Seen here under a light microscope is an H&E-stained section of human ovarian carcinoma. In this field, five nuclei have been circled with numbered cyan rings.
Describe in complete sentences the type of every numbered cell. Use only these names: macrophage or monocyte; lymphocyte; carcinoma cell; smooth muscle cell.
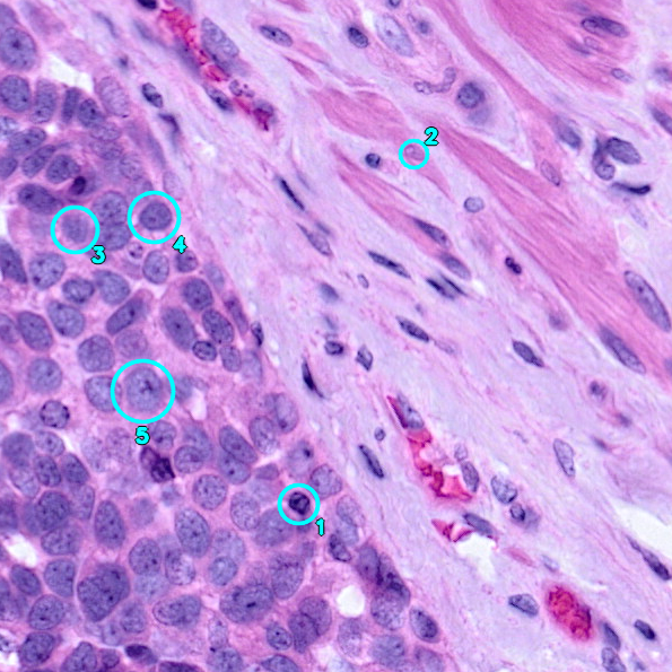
Cell 1 is a lymphocyte, cell 2 is a smooth muscle cell, cell 3 is a carcinoma cell, cell 4 is a carcinoma cell and cell 5 is a carcinoma cell.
